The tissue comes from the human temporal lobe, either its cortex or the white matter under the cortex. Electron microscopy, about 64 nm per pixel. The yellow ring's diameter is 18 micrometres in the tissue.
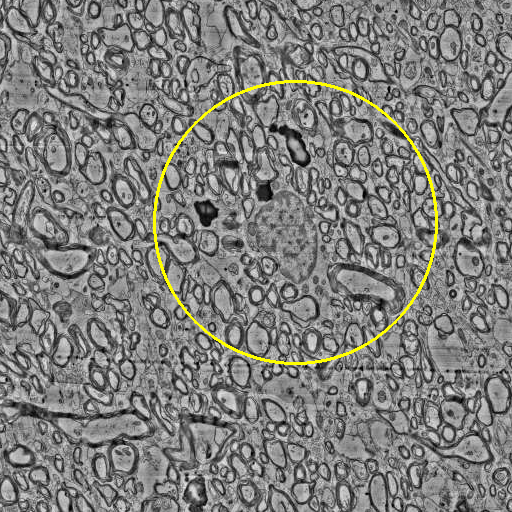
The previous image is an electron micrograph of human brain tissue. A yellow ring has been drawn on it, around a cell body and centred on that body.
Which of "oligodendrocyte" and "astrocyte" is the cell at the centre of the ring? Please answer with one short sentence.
The cell body at the centre of the ring belongs to an oligodendrocyte.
